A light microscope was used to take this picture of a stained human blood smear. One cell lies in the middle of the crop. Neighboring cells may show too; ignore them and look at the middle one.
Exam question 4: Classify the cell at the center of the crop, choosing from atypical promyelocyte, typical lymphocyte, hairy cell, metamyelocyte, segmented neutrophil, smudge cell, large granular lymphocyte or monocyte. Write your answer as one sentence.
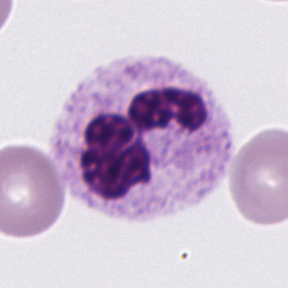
This crop's central cell is a segmented neutrophil.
